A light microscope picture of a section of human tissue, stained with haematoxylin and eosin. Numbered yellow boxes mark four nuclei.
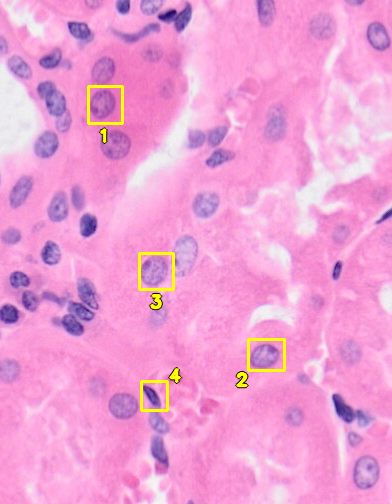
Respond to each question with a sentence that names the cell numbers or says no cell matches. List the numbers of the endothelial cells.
Whereas cell 4 is an endothelial cell, the other numbered cells are not.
